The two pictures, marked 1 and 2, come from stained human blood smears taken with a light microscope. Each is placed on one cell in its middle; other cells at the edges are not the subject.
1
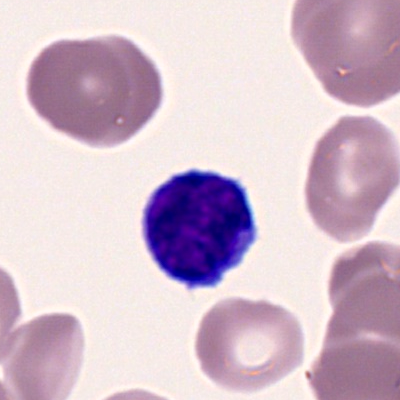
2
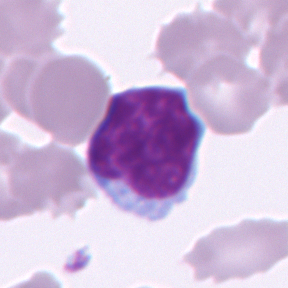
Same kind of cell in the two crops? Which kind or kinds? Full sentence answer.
Yes, lymphocytes occupy the centre of both crops.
